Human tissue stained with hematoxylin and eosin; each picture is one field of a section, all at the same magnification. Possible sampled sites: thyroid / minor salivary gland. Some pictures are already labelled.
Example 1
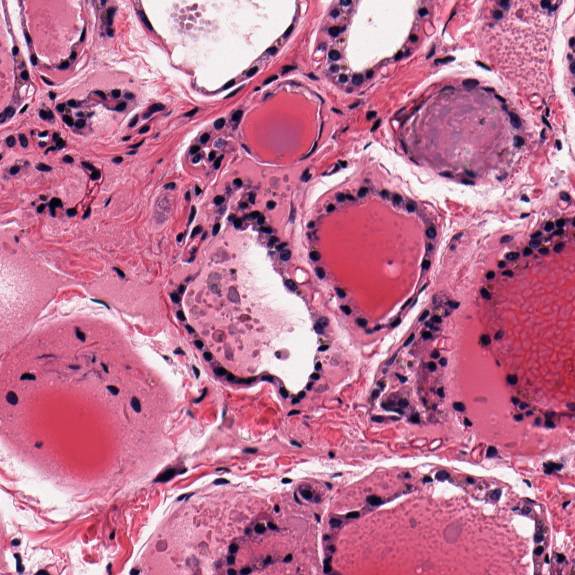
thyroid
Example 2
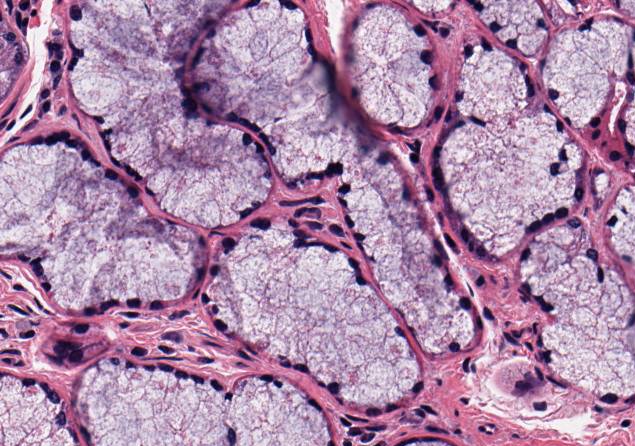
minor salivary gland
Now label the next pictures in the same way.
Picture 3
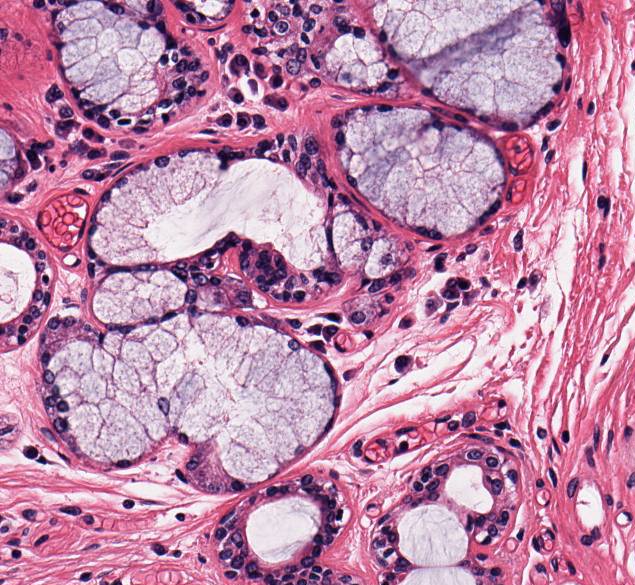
minor salivary gland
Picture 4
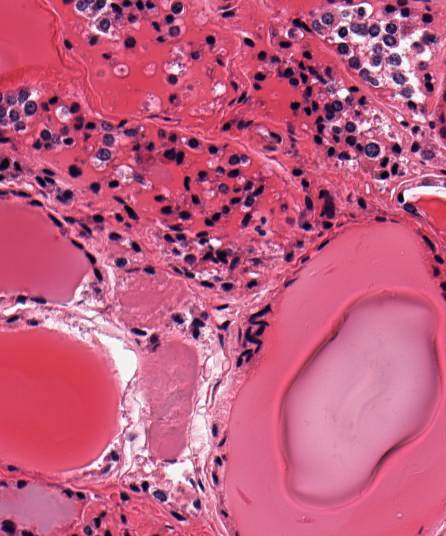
thyroid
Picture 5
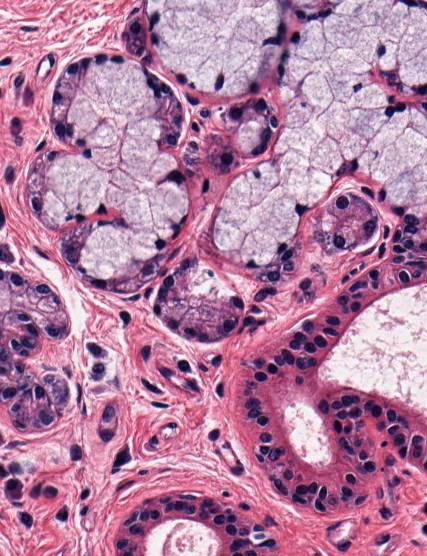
minor salivary gland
